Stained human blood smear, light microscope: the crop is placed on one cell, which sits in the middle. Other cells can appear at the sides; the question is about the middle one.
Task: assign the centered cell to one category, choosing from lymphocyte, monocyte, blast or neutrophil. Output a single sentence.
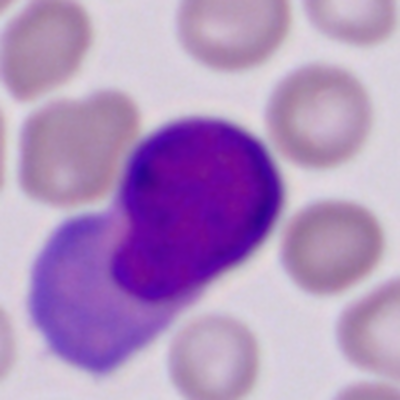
By type, the central cell of the crop is a blast.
